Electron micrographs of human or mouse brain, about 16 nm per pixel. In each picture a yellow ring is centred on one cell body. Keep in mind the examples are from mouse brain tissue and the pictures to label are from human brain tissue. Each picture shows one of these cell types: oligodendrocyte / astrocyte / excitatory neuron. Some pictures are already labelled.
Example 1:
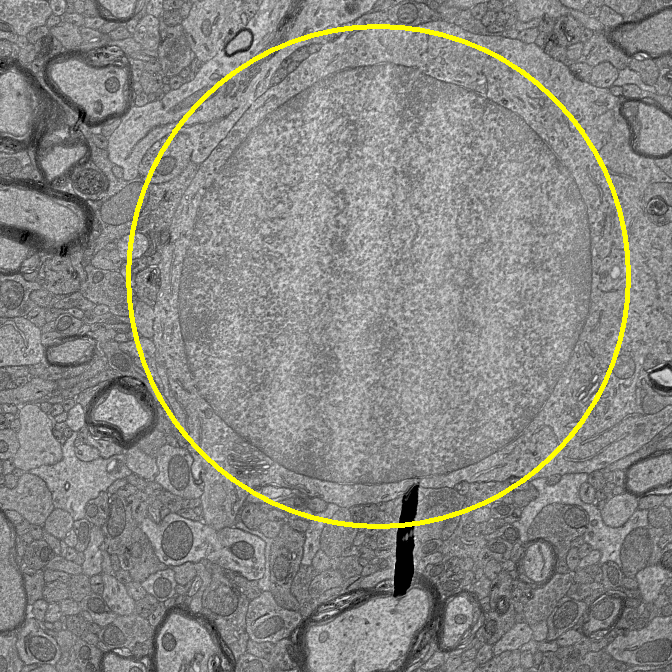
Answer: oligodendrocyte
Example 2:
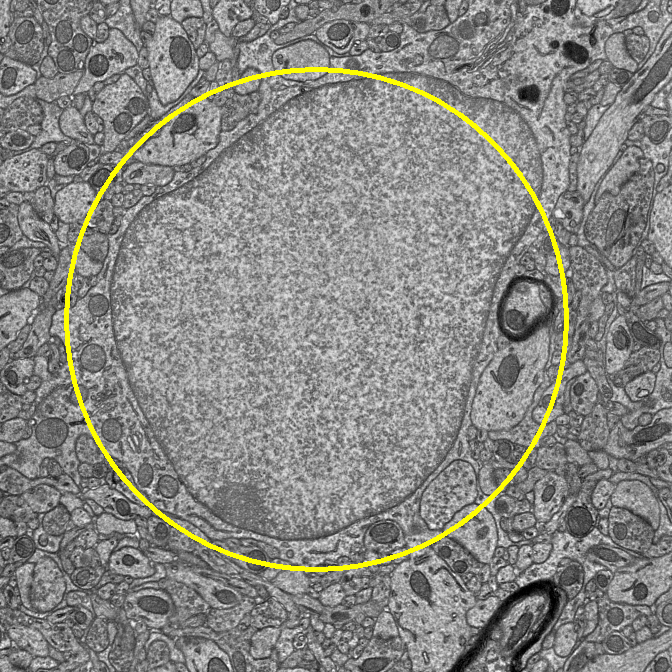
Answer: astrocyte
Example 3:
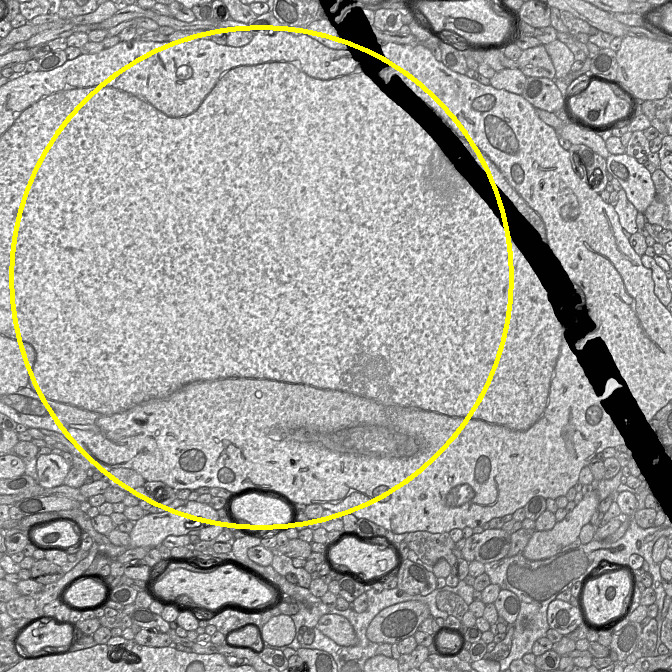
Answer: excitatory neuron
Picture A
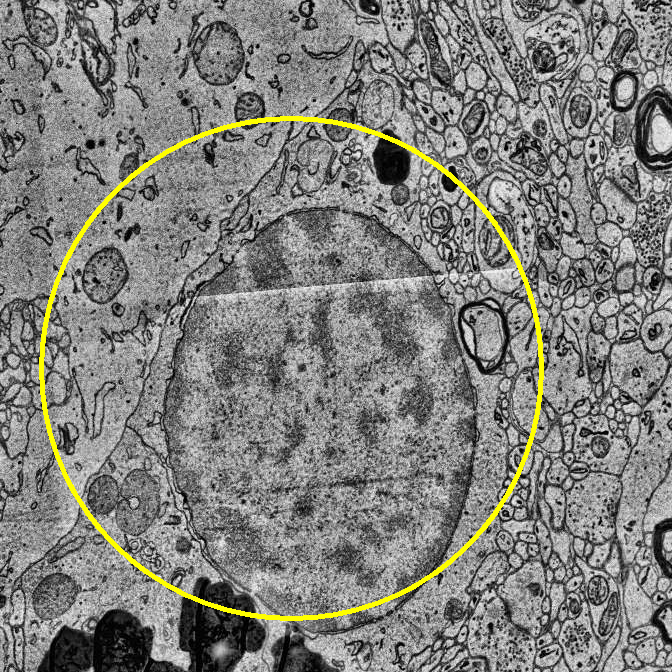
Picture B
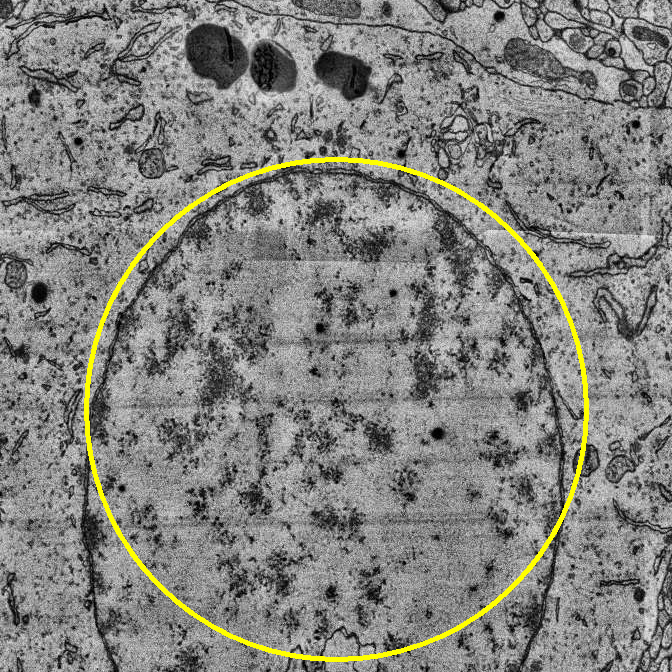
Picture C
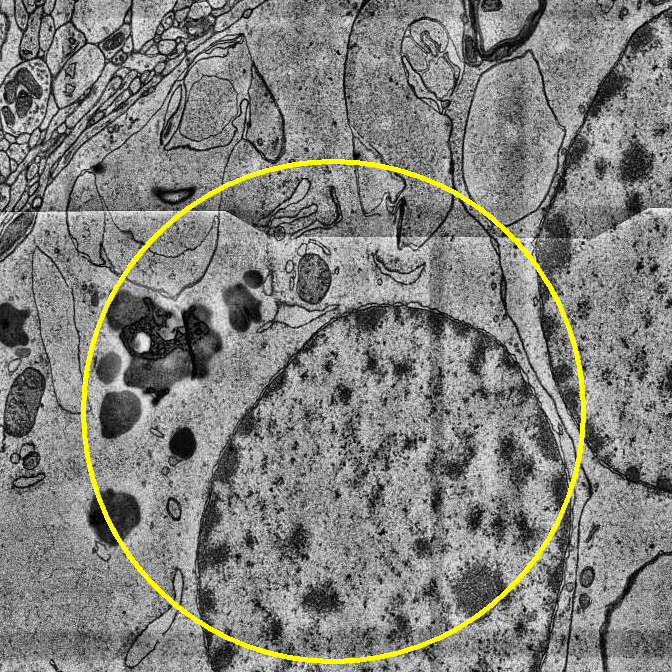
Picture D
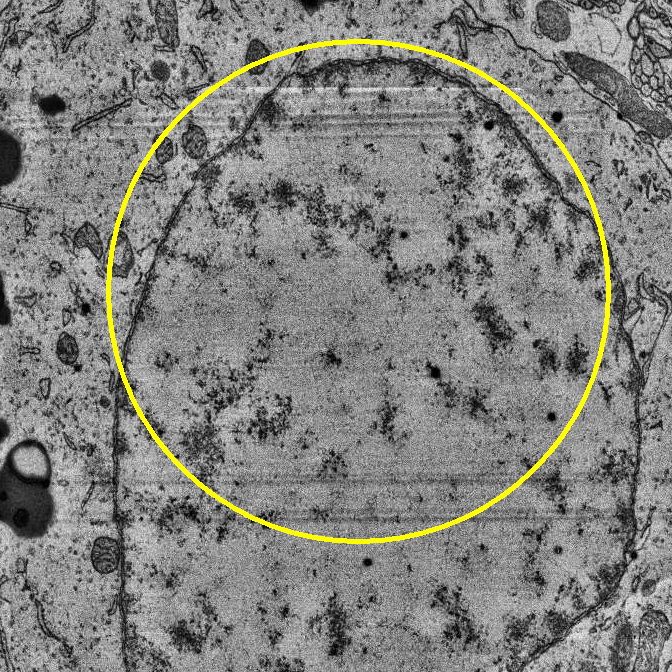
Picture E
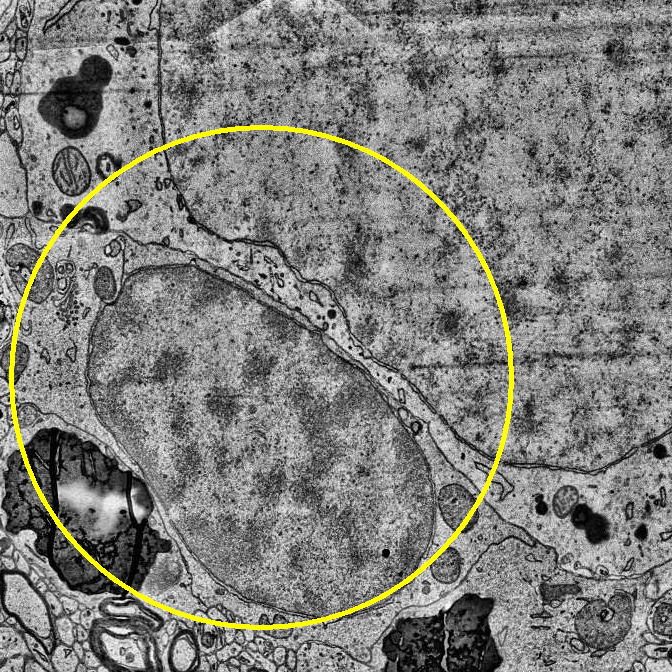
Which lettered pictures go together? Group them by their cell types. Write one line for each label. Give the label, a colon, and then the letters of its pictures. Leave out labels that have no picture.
oligodendrocyte: A, E
astrocyte: C
excitatory neuron: B, D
